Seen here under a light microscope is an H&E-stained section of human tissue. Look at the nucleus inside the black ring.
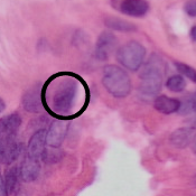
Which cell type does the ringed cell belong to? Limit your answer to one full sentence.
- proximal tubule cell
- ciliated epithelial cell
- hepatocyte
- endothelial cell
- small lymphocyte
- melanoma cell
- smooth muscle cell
The cell type represented by the ringed cell is that of a ciliated epithelial cell.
